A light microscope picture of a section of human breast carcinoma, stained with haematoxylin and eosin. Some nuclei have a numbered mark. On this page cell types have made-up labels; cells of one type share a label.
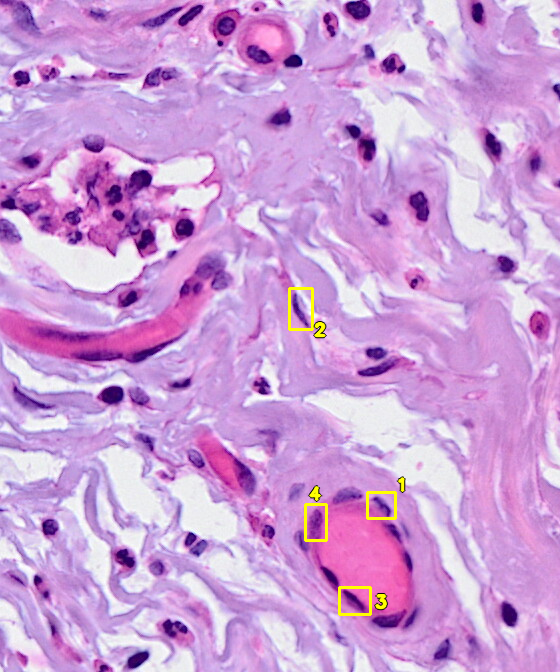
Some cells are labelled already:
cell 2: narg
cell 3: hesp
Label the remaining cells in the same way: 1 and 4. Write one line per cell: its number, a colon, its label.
1: narg
4: hesp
